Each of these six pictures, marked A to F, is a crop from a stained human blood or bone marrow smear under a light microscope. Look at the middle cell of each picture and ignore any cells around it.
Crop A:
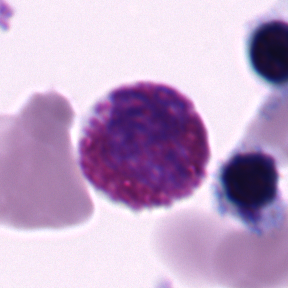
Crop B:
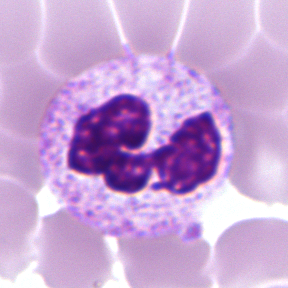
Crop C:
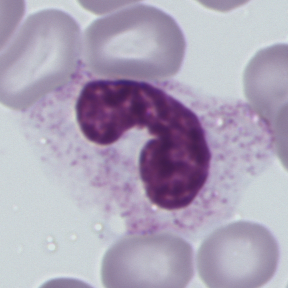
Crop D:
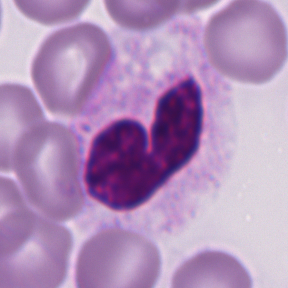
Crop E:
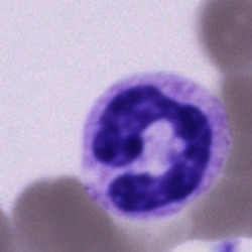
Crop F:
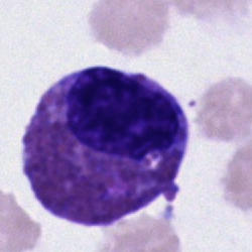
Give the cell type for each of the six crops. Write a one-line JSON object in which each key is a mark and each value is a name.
{"A": "eosinophil", "B": "segmented neutrophil", "C": "band neutrophil", "D": "band neutrophil", "E": "segmented neutrophil", "F": "eosinophil"}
